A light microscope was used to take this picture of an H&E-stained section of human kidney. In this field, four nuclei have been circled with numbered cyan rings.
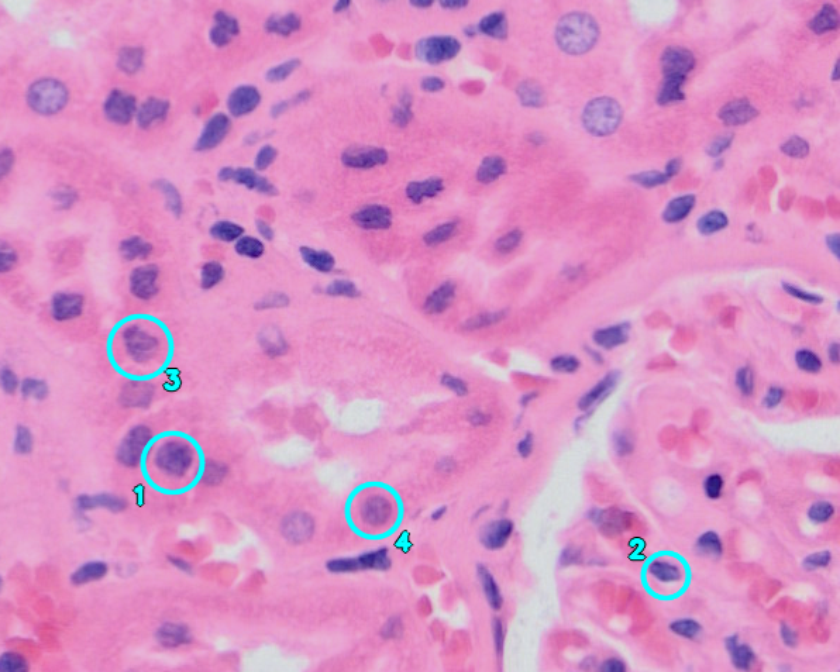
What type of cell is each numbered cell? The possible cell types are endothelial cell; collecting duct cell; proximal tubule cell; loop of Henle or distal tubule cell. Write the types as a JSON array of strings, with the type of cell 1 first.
["proximal tubule cell", "endothelial cell", "proximal tubule cell", "proximal tubule cell"]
